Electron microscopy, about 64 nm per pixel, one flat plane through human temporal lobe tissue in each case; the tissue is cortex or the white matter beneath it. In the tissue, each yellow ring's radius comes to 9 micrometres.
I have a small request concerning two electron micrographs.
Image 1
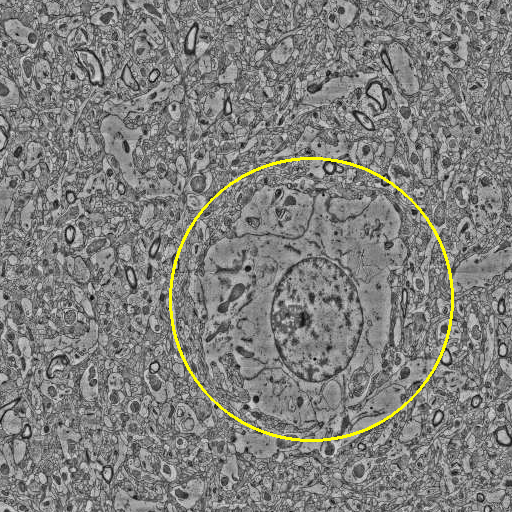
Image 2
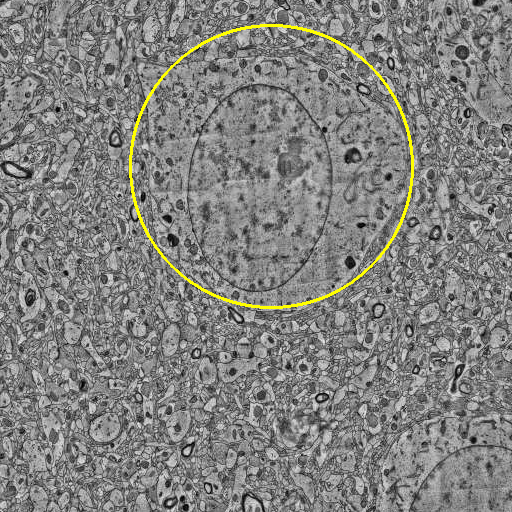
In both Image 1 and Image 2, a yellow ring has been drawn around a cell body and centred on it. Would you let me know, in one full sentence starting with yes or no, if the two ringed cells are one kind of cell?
No, the cells ringed in Image 1 and Image 2 are two kinds of cell.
